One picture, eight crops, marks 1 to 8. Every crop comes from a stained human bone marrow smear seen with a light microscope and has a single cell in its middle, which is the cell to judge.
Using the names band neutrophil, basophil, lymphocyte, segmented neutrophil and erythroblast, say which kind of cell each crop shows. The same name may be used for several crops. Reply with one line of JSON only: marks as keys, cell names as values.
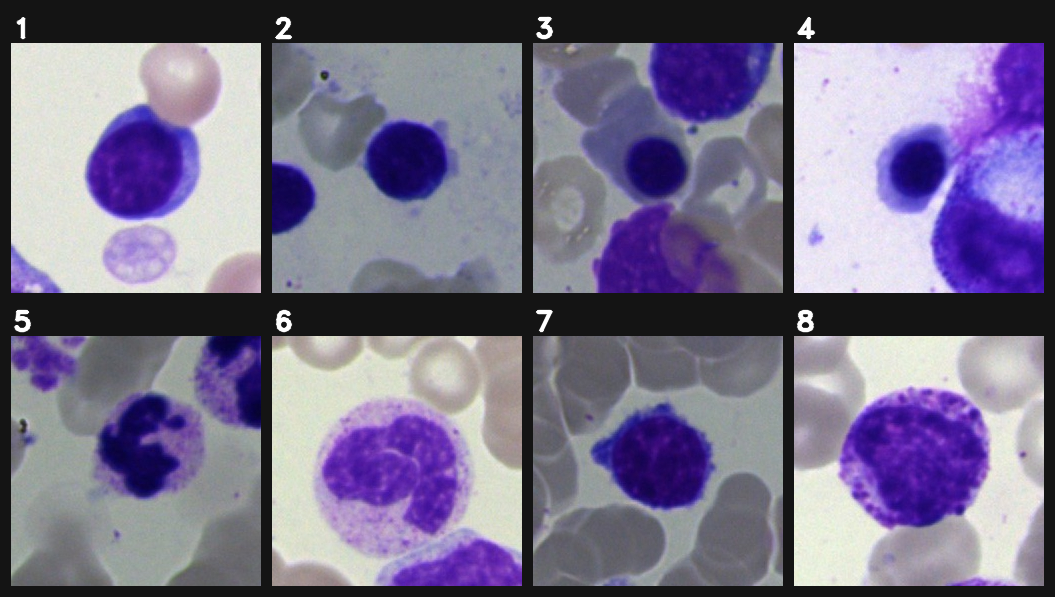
{"1": "lymphocyte", "2": "lymphocyte", "3": "erythroblast", "4": "erythroblast", "5": "segmented neutrophil", "6": "segmented neutrophil", "7": "lymphocyte", "8": "basophil"}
